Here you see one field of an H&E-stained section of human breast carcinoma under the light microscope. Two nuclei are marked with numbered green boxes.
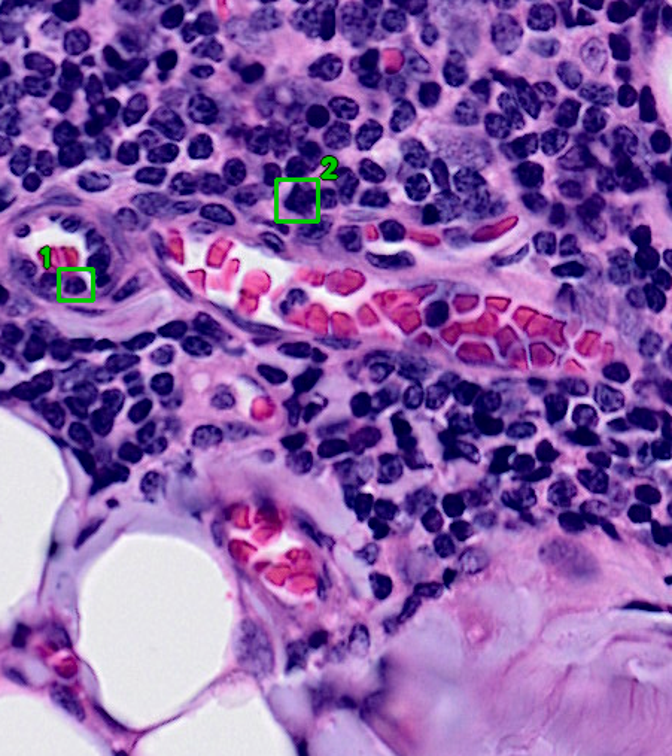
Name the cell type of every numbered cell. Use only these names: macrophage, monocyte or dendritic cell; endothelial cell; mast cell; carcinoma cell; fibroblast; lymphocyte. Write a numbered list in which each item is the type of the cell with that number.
1. endothelial cell
2. lymphocyte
